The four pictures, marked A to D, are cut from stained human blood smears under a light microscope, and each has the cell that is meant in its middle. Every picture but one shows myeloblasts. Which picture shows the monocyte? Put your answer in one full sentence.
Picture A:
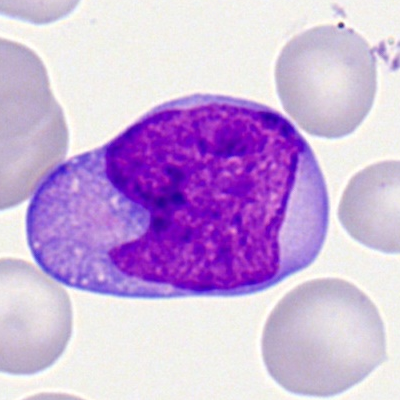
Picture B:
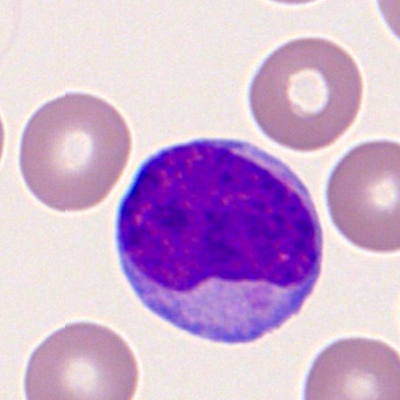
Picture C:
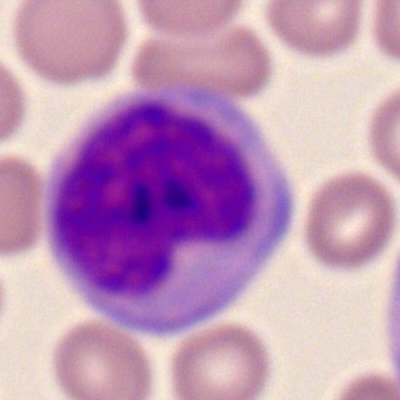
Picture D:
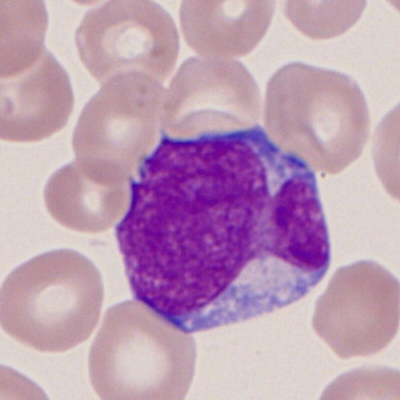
The cell in picture C is the monocyte.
